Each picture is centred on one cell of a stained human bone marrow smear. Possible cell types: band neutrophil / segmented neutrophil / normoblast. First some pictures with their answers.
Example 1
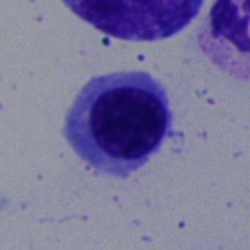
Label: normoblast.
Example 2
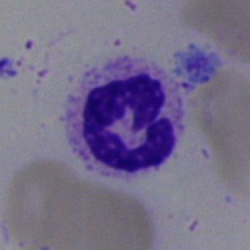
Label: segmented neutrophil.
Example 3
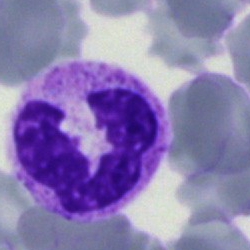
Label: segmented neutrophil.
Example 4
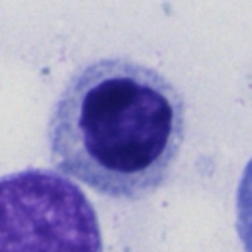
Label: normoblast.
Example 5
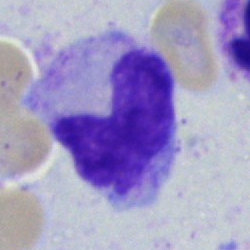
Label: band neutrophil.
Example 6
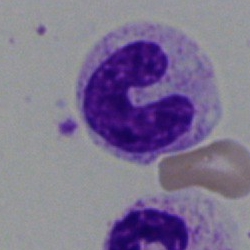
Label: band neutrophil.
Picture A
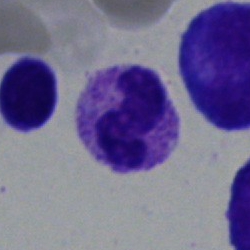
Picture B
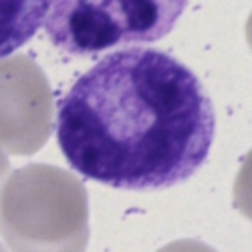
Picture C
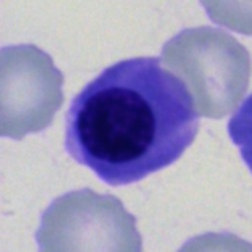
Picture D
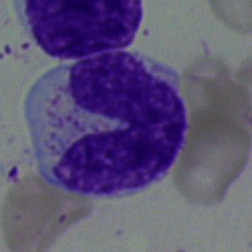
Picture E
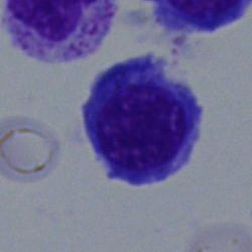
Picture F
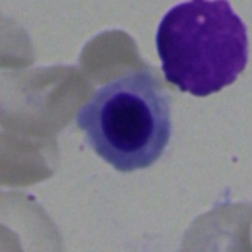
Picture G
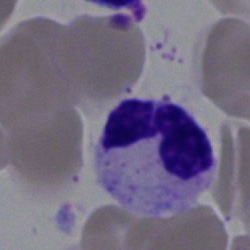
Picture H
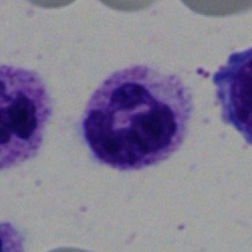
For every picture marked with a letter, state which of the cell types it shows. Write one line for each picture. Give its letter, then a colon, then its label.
A: segmented neutrophil.
B: band neutrophil.
C: normoblast.
D: band neutrophil.
E: normoblast.
F: normoblast.
G: segmented neutrophil.
H: segmented neutrophil.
